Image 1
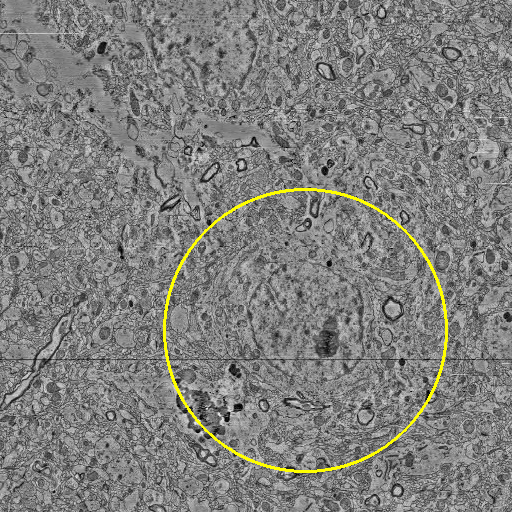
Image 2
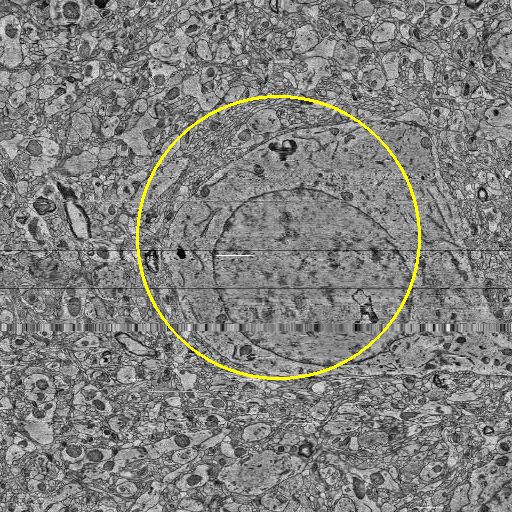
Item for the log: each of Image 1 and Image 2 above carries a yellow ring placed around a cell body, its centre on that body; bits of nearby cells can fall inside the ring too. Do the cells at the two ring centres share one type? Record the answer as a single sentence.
No, the two cells at the ring centres in Image 1 and Image 2 are of two types.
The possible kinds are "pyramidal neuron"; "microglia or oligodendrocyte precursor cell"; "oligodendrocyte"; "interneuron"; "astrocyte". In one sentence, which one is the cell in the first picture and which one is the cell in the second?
The cell ringed in the second picture is a pyramidal neuron, whereas the one ringed in the first is an interneuron.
